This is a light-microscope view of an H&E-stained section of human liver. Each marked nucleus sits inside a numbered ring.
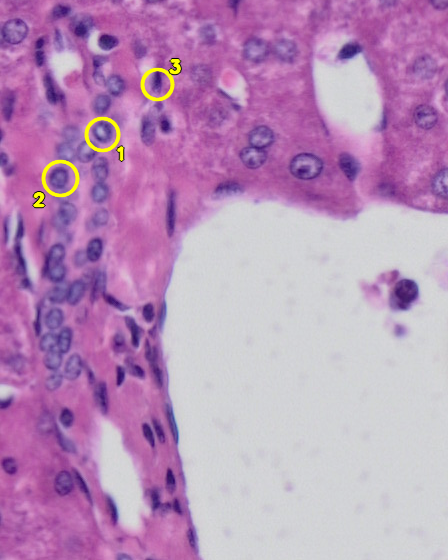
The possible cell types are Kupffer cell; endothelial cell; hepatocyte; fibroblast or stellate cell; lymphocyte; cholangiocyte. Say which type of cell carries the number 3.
fibroblast or stellate cell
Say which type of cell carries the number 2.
cholangiocyte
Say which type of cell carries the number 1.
cholangiocyte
